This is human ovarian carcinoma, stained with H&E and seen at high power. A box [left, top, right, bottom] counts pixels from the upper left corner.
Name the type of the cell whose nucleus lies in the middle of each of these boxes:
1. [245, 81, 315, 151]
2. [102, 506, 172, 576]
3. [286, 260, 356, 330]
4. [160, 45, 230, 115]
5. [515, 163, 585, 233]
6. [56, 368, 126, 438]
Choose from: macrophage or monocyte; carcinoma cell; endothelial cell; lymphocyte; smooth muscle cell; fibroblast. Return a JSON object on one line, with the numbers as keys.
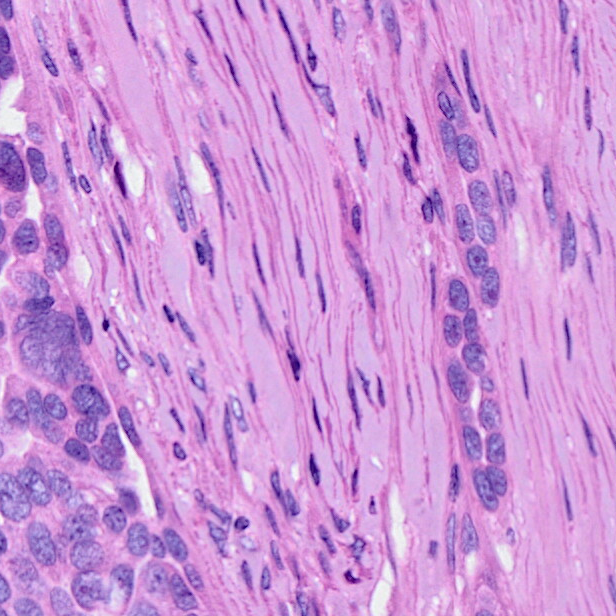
{"1": "fibroblast", "2": "carcinoma cell", "3": "fibroblast", "4": "fibroblast", "5": "fibroblast", "6": "carcinoma cell"}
